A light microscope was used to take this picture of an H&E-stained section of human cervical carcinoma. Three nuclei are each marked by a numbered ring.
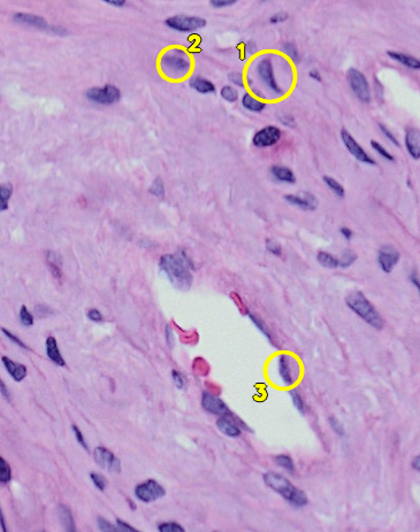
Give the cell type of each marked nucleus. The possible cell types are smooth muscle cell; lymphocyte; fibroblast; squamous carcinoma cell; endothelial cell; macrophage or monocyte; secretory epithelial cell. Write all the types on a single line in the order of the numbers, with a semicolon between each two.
fibroblast; fibroblast; endothelial cell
